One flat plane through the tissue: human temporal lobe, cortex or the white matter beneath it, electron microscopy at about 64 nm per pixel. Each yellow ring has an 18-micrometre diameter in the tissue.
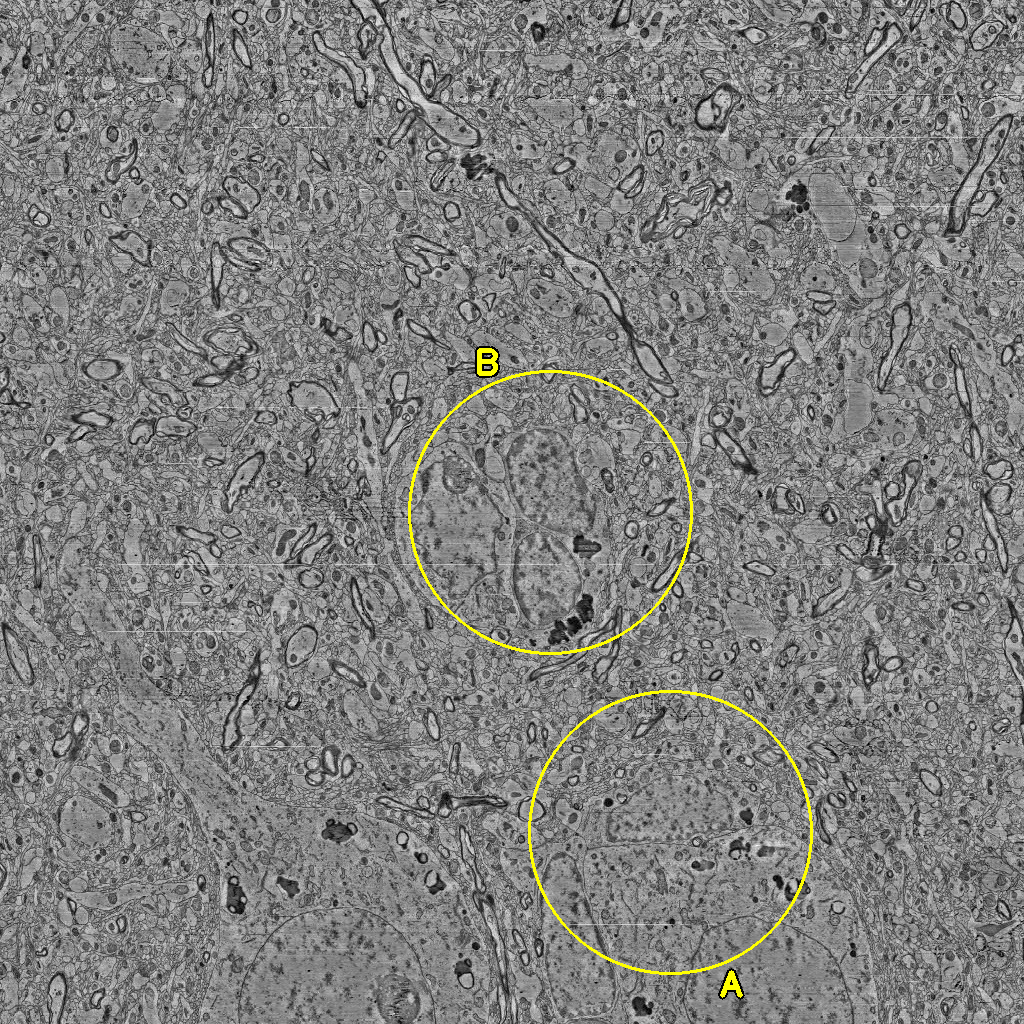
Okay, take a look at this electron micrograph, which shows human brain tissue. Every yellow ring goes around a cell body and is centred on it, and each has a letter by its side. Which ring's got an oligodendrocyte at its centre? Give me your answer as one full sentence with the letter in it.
The one you're after is ring B, centred on the cell you asked about.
